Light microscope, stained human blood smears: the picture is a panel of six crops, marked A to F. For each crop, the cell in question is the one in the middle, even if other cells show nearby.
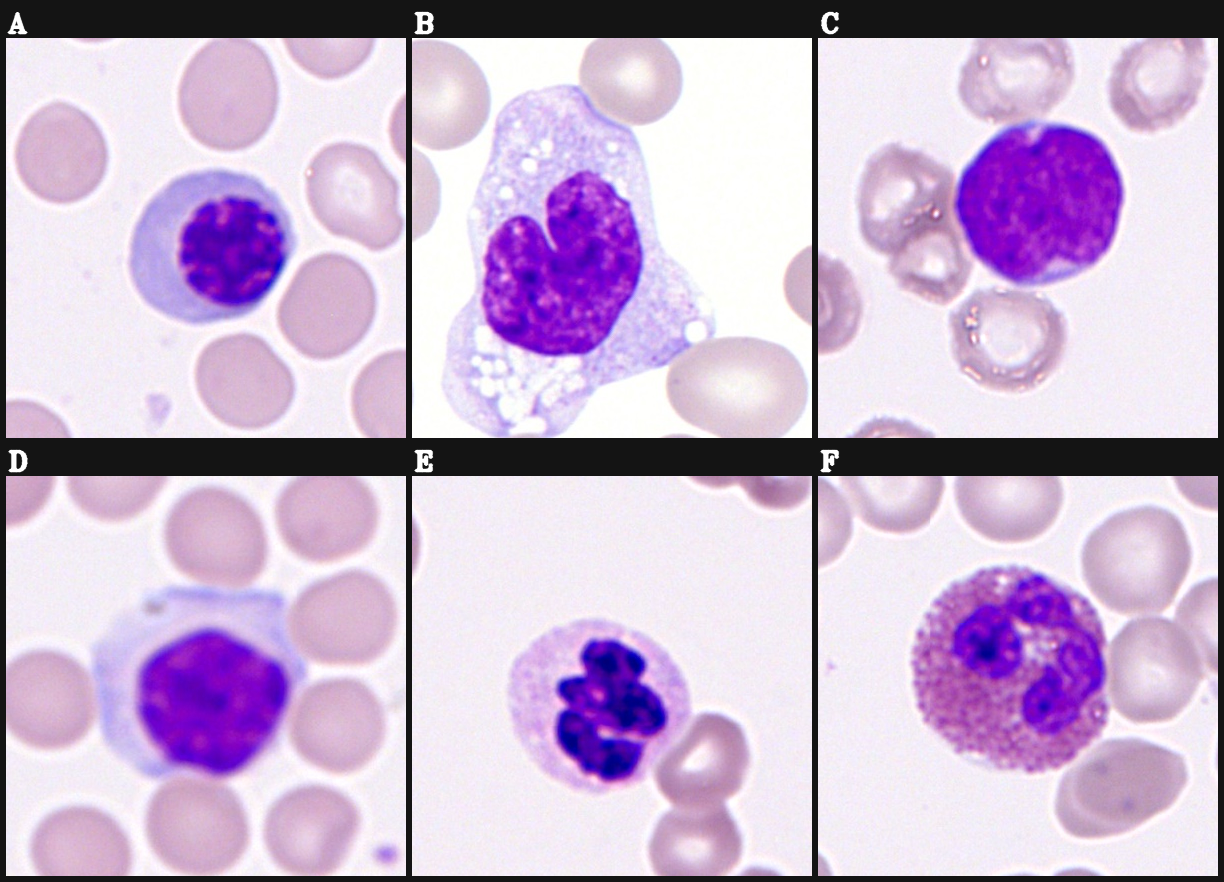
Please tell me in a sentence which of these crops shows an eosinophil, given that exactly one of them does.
The crop that has an eosinophil in the middle is crop F.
